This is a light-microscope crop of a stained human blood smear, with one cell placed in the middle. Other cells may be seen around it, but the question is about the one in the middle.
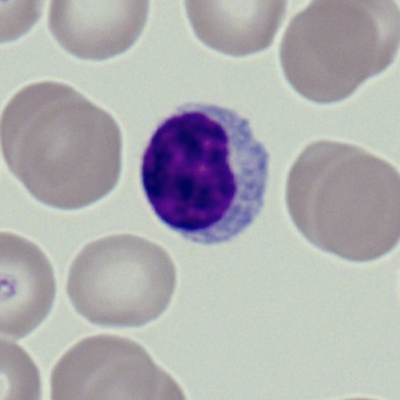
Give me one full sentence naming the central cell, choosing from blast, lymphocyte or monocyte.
Standing at the centre of this crop is a lymphocyte.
